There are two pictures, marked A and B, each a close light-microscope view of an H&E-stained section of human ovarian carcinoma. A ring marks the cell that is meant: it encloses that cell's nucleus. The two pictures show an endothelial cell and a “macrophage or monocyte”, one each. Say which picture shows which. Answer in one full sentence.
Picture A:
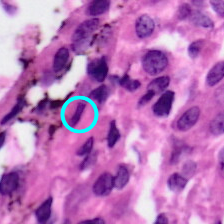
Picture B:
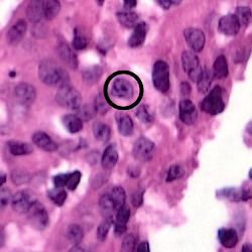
In picture A the cell is an endothelial cell; in picture B, a “macrophage or monocyte”.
